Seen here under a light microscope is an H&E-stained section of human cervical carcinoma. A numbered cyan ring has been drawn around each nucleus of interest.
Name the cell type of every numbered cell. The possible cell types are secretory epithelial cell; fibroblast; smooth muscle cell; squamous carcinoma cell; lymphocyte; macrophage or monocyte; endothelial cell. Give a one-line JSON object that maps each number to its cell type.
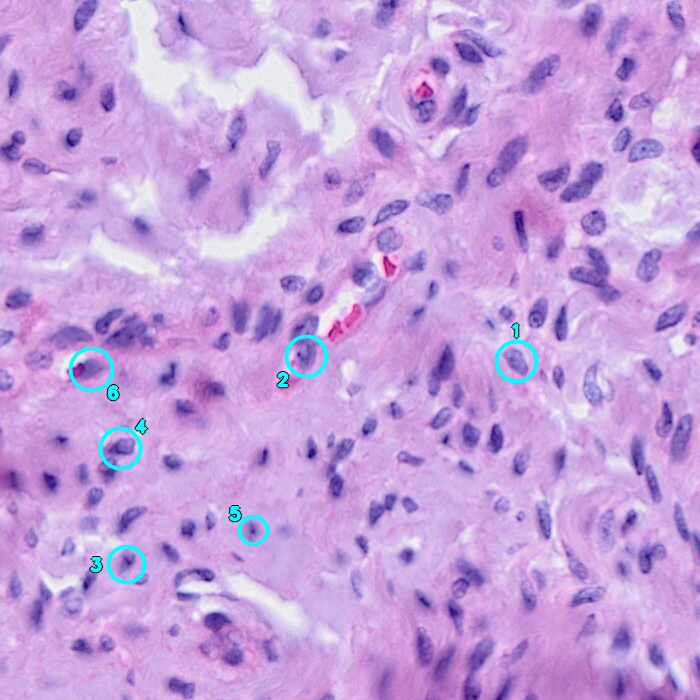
{"1": "fibroblast", "2": "endothelial cell", "3": "fibroblast", "4": "fibroblast", "5": "fibroblast", "6": "endothelial cell"}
